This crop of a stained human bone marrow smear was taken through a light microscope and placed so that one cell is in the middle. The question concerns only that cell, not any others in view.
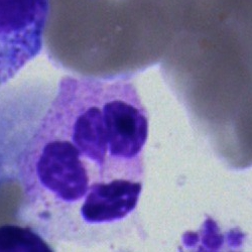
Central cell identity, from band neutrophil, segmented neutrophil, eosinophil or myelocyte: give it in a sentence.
The cell at the middle of the crop is recognized as a segmented neutrophil.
